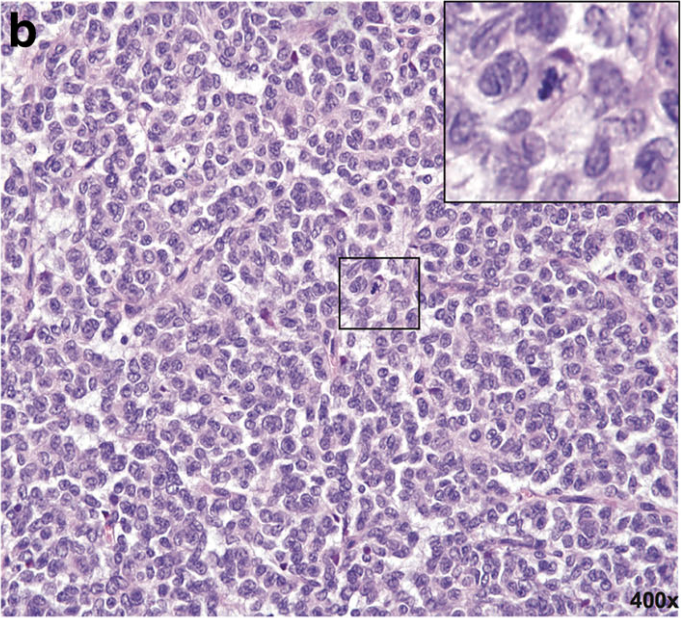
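This is a high-power view of a tumor made of sheets of small, round cells packed closely together. The nuclei are round to oval with fine chromatin and fill most of each cell, leaving only scant pale cytoplasm. Thin pink strands of stroma run between groups of cells. The enlarged inset shows one cell in mitosis, with dark clumped chromatin among the surrounding nuclei.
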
